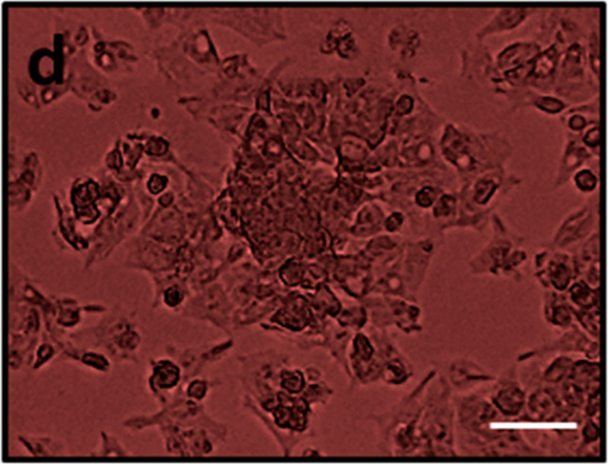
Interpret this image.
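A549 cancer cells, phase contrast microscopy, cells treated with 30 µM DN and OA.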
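Many cells are rounded and compact with dark, sharply outlined borders, lying on or beside flatter, paler cells. Between the clusters lie open areas of the dish with few cells.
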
